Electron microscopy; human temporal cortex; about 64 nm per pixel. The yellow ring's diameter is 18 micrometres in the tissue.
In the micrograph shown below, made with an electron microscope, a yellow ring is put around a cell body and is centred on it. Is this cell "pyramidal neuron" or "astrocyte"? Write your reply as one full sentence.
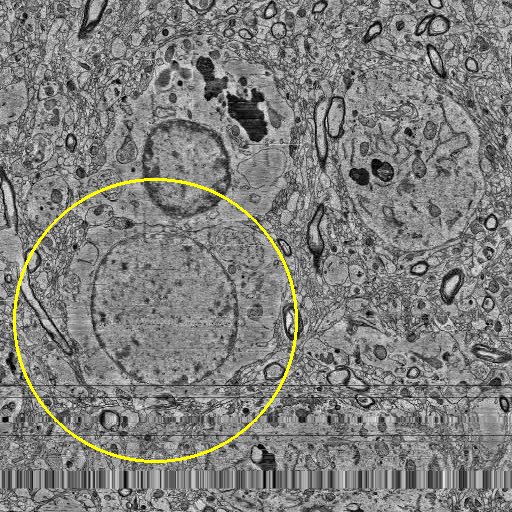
In the micrograph, an astrocyte is the cell at the centre of the yellow ring.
